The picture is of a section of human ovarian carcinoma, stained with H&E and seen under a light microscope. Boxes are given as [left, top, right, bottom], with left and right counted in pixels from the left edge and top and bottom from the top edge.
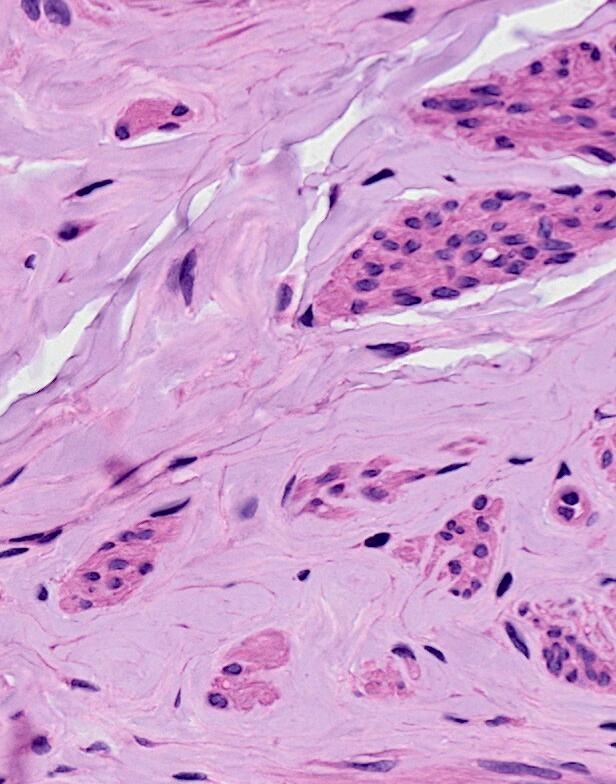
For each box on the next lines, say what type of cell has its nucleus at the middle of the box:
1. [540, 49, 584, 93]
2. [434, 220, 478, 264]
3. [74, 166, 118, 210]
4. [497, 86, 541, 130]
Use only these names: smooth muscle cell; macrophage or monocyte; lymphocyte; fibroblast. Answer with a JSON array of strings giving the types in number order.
["smooth muscle cell", "smooth muscle cell", "fibroblast", "smooth muscle cell"]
